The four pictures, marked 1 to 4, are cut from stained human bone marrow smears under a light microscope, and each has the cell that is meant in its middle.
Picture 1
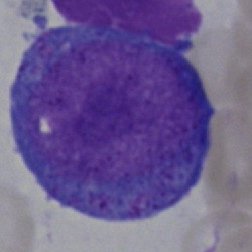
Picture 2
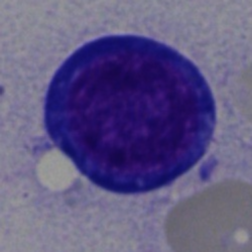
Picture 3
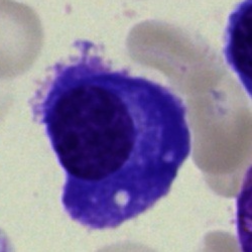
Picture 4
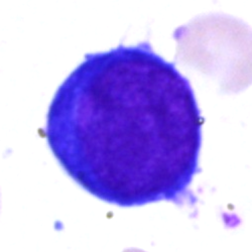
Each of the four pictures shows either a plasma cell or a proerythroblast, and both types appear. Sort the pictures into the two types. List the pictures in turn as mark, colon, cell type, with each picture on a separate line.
1: proerythroblast
2: proerythroblast
3: plasma cell
4: proerythroblast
